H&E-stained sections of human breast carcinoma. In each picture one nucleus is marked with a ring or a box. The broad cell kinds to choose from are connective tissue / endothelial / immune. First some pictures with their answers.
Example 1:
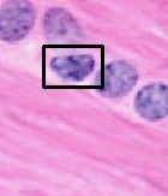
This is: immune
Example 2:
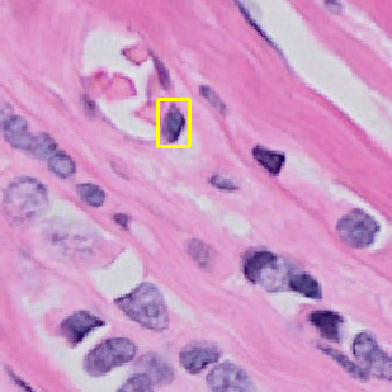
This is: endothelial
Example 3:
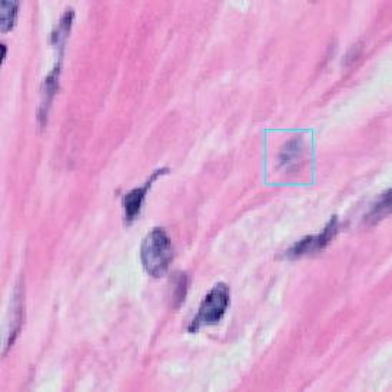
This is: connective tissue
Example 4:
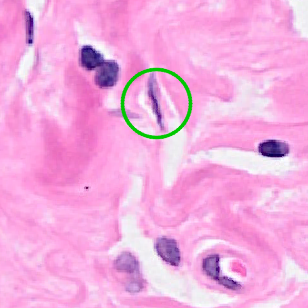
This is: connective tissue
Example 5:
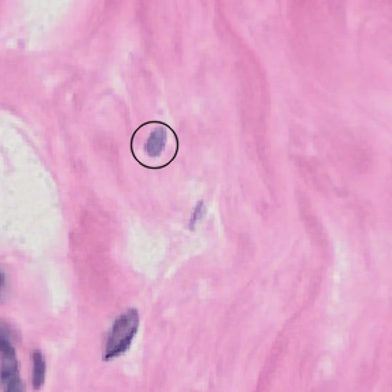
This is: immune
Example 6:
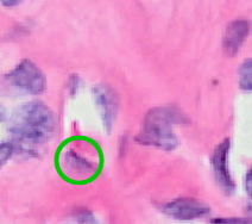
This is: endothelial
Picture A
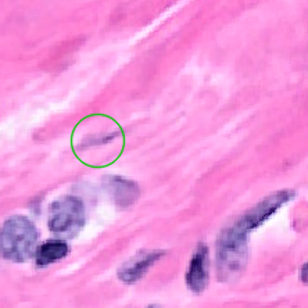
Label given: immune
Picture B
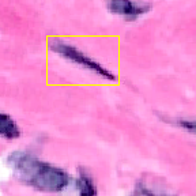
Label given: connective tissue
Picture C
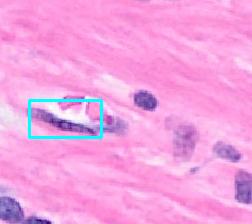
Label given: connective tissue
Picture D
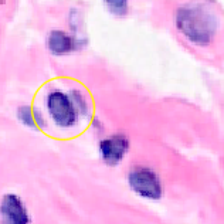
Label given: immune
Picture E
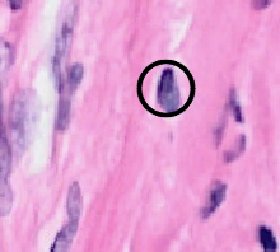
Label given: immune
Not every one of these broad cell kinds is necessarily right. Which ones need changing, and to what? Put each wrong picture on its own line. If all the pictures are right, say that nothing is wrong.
Wrong: A (immune); correct: connective tissue
Wrong: C (connective tissue); correct: endothelial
